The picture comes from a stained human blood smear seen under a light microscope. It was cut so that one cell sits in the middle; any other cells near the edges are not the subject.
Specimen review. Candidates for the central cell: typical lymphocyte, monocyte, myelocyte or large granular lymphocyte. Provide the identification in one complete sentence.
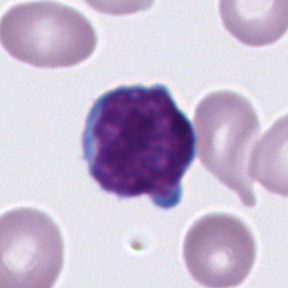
Regarding the central cell, it is a typical lymphocyte.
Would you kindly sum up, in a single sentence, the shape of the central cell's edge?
The outline of this cell is not smooth but ragged or drawn out into projections.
